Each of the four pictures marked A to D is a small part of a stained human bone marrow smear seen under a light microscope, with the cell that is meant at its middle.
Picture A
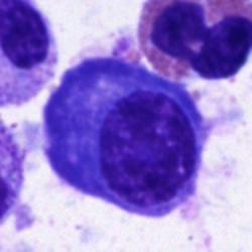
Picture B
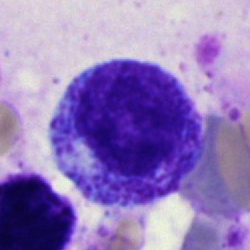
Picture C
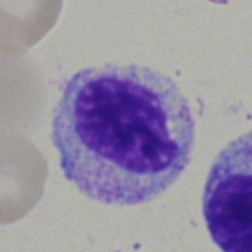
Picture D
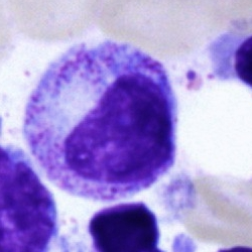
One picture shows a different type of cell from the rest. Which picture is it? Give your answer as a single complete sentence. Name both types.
Unlike the rest, which show myelocytes, picture A shows a plasma cell.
